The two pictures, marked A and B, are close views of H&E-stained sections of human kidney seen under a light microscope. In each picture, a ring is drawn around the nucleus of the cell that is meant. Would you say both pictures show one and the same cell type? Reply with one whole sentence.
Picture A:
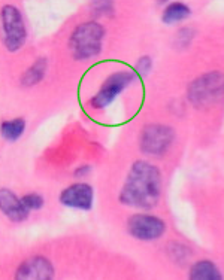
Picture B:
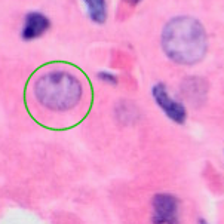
No, they differ: the cell is an endothelial cell in picture A and a proximal tubule cell in picture B.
